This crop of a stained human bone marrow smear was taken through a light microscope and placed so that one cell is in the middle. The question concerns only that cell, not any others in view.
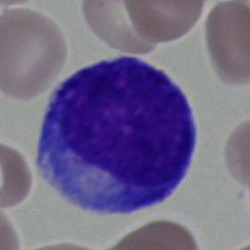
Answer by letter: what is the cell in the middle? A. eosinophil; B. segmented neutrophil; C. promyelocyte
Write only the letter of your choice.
C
